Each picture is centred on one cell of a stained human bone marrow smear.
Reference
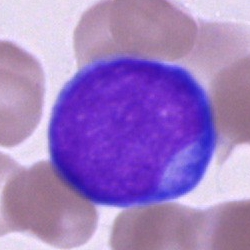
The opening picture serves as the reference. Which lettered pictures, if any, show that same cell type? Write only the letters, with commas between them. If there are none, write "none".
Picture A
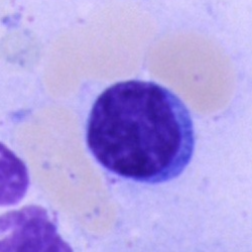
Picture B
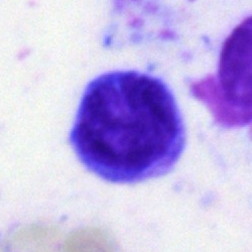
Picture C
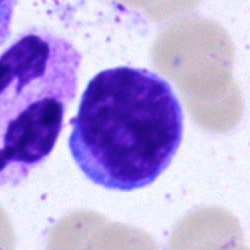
none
